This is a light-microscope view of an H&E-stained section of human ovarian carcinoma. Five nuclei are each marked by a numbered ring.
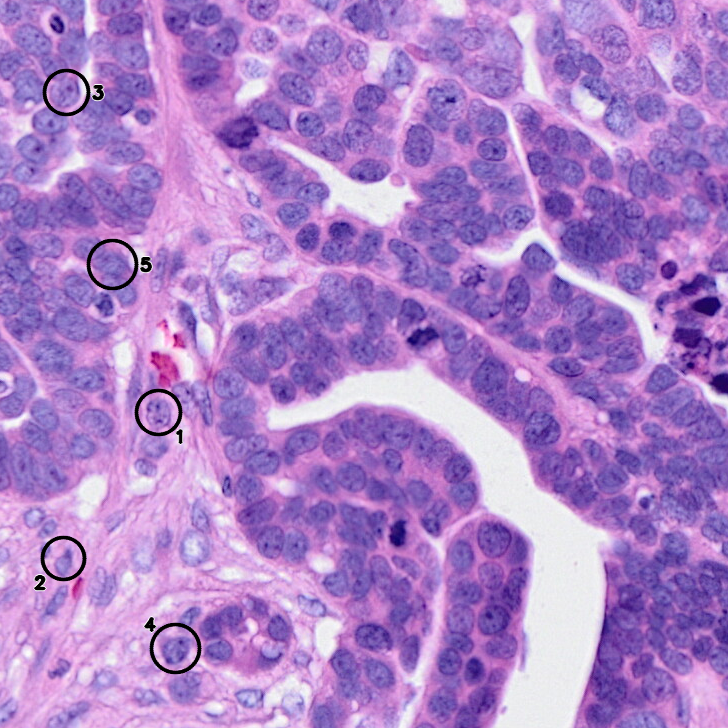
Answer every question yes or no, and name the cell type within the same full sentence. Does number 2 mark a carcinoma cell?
No; cell 2 is a fibroblast, not a carcinoma cell.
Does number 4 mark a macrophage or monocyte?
Yes, the cell that bears number 4 is a macrophage or monocyte.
